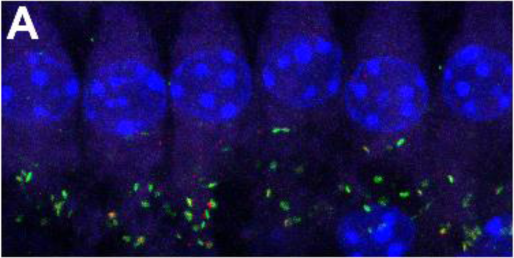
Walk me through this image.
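A single row of flask-shaped cells stands side by side, each with a large round blue nucleus speckled with brighter spots in its upper part and faint purplish cytoplasm tapering downward. Below the nuclei, around the narrow bases of the cells, lie clusters of tiny green and yellowish puncta, with a few red dots among them. A few more blue nuclei of neighbouring cells sit along the bottom edge.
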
